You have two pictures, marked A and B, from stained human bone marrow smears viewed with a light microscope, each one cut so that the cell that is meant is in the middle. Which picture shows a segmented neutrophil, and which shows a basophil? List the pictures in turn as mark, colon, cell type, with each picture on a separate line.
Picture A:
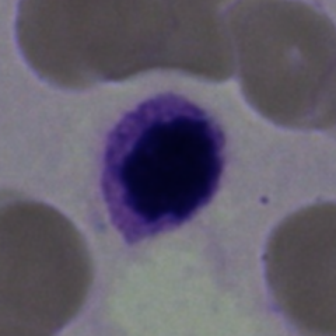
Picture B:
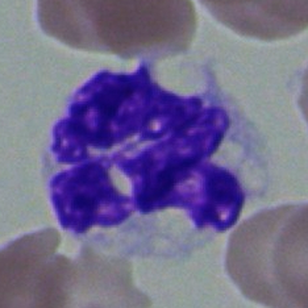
A: basophil
B: segmented neutrophil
